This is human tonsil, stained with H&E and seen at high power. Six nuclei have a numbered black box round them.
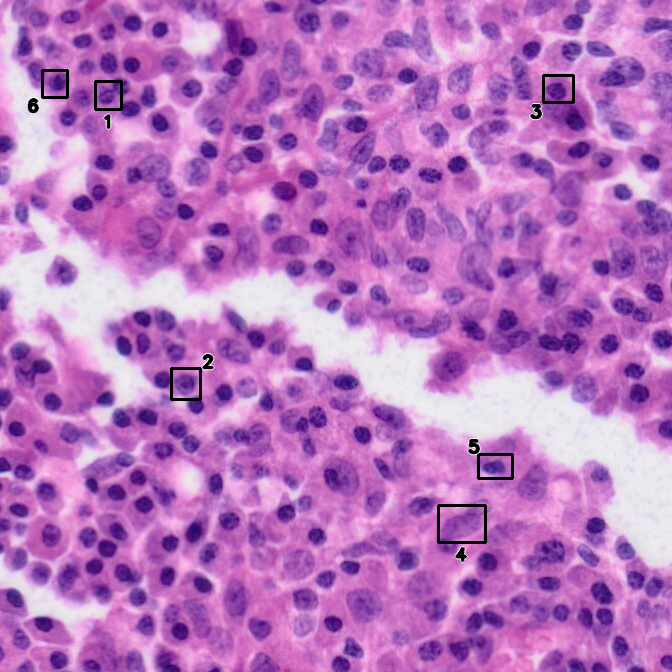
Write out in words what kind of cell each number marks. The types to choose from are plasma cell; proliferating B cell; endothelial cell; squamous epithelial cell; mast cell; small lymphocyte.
Cells 1, 2, 3 and 6 are plasma cells. Cells 4 and 5 are squamous epithelial cells.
